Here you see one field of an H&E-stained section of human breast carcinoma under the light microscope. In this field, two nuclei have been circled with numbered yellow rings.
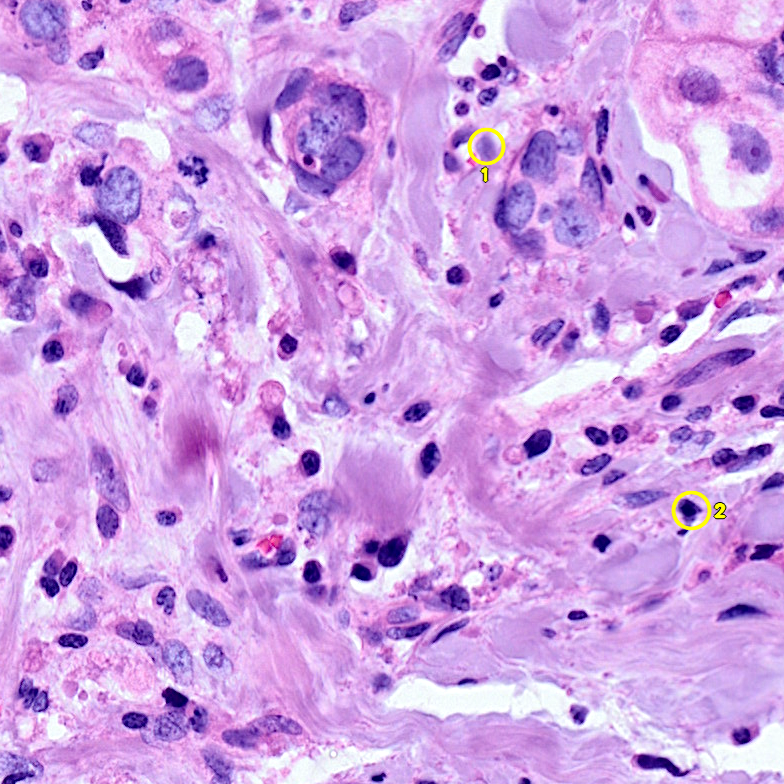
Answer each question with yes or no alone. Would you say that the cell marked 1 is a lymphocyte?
no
